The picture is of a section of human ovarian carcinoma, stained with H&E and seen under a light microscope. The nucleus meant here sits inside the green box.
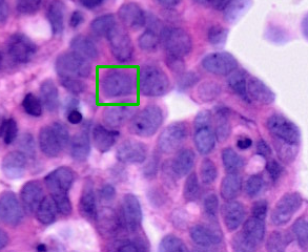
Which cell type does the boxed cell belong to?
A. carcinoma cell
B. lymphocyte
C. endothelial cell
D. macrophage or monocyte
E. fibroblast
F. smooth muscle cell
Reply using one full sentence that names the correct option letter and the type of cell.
Under option A, the boxed cell is listed as a carcinoma cell, which is correct.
